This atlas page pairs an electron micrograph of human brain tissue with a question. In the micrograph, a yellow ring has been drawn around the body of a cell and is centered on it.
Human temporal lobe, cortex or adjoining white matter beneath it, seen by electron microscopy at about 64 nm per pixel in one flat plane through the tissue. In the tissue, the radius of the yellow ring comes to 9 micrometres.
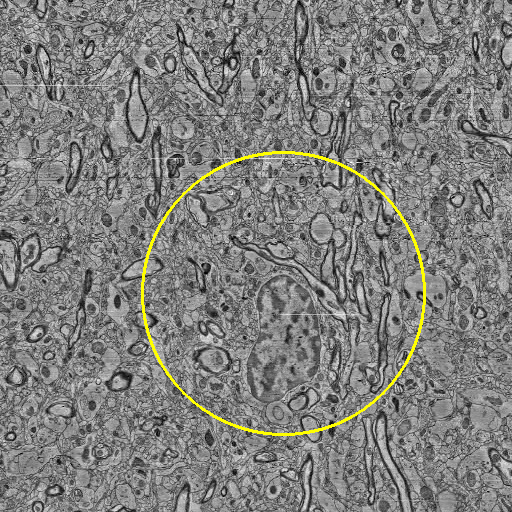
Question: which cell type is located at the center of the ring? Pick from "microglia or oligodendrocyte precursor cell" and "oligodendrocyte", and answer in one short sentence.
Located at the center of the ring is a microglial cell or oligodendrocyte precursor cell.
